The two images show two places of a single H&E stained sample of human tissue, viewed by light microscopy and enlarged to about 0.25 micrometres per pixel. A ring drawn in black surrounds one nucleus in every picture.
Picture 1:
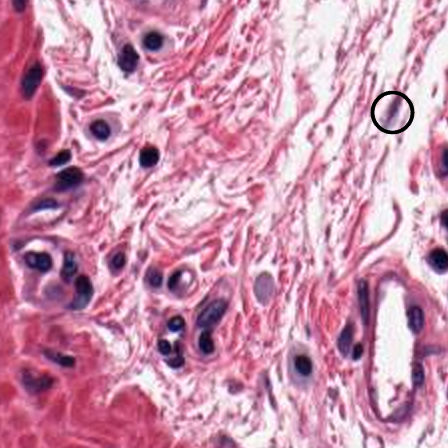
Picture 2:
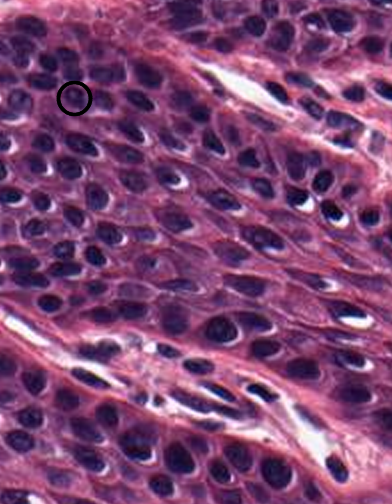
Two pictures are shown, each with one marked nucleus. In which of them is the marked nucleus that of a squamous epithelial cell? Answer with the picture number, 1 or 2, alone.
2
